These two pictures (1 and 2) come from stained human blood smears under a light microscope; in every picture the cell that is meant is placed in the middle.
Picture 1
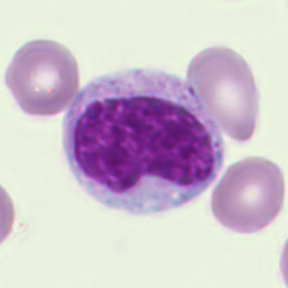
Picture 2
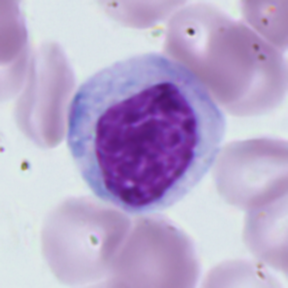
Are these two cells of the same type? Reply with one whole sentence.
Yes, the two pictures both show metamyelocytes.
